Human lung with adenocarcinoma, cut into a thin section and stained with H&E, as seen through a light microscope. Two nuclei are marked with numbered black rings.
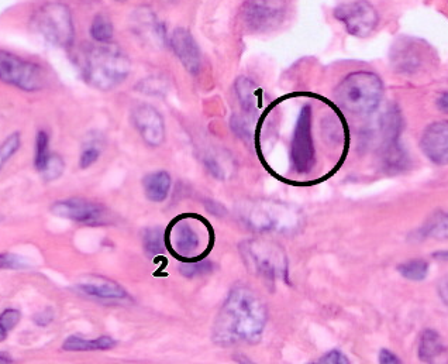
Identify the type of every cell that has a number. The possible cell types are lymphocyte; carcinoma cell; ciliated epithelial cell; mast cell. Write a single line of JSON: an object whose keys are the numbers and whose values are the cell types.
{"1": "carcinoma cell", "2": "lymphocyte"}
